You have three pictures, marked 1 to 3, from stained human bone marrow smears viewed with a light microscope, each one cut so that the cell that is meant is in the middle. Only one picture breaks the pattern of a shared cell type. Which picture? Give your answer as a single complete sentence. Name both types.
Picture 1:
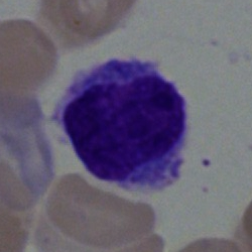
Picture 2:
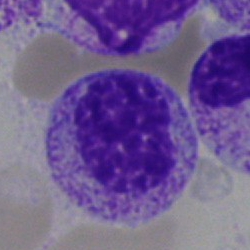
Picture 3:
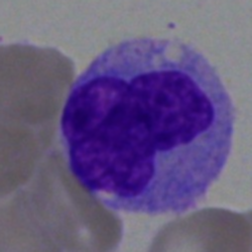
All pictures except 2 show monocytes; picture 2 shows a myelocyte.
